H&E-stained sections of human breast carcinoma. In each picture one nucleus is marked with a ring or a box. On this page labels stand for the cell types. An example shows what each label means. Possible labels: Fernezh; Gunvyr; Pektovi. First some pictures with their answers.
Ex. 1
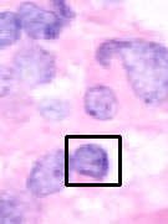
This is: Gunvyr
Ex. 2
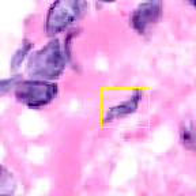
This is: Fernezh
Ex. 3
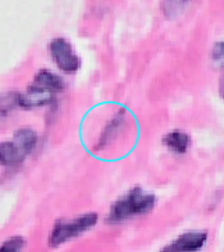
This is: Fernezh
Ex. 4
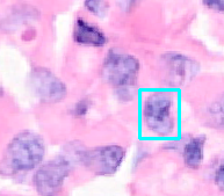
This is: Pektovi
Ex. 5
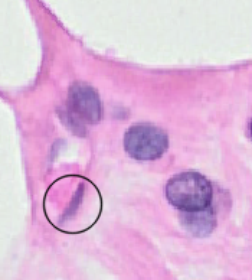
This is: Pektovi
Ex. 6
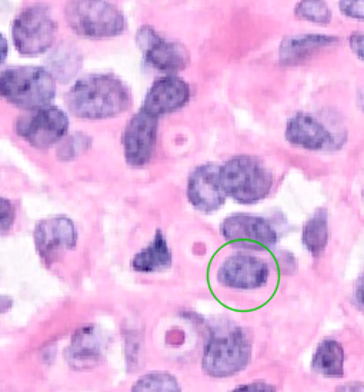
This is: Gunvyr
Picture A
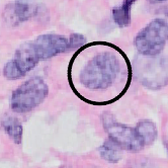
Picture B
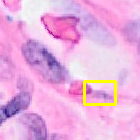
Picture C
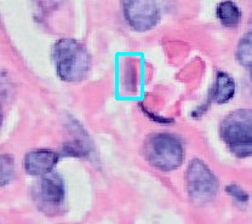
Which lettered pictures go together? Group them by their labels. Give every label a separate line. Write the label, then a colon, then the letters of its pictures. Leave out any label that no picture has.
Gunvyr: A
Pektovi: B, C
